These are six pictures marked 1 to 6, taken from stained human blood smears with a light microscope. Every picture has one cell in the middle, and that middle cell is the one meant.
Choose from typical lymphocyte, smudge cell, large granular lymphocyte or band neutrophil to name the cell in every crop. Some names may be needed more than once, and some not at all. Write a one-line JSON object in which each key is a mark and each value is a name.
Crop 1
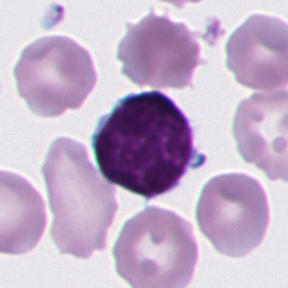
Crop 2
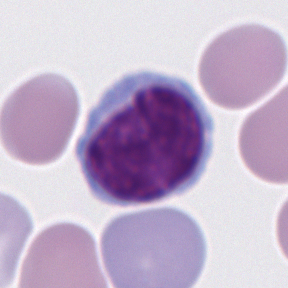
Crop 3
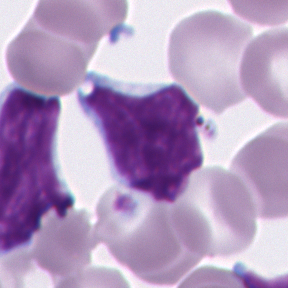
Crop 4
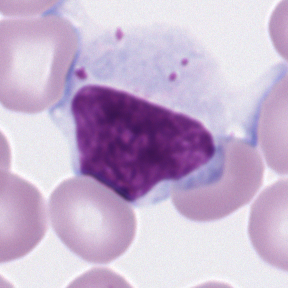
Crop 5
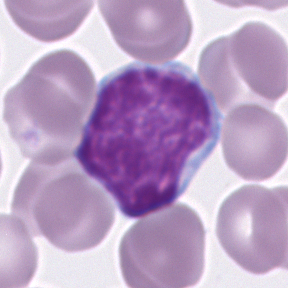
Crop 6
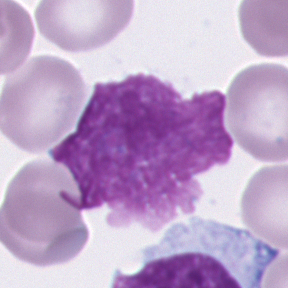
{"1": "typical lymphocyte", "2": "typical lymphocyte", "3": "typical lymphocyte", "4": "large granular lymphocyte", "5": "typical lymphocyte", "6": "smudge cell"}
